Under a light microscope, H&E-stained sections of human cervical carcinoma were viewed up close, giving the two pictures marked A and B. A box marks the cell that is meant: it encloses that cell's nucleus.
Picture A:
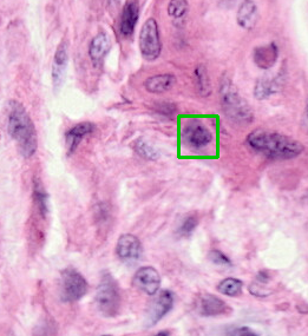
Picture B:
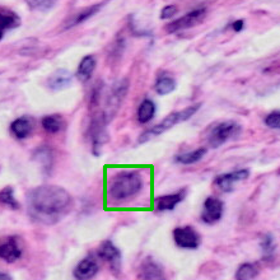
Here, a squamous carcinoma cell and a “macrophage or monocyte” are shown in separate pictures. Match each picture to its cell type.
A: squamous carcinoma cell
B: macrophage or monocyte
